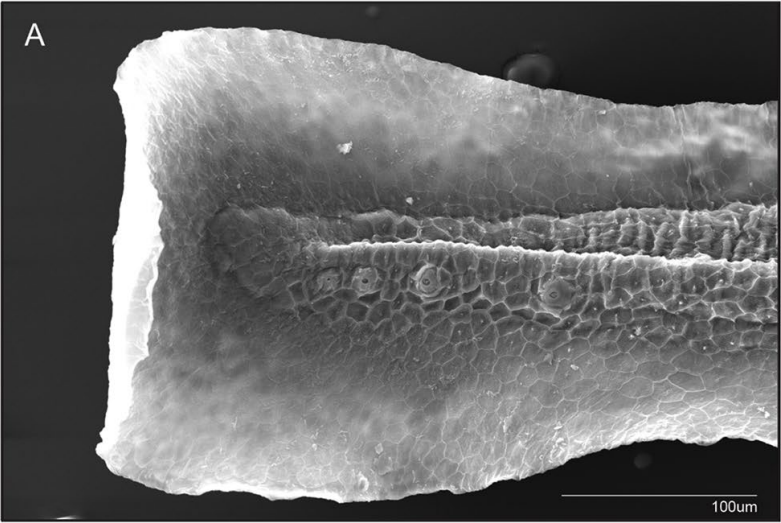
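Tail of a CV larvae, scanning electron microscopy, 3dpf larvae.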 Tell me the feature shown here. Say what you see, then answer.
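Terminal neuromasts. Several small round mounds with a central pore sit in a row on the tail surface. They lie along a longitudinal ridge near the tip of the tail. Each mound stands out from the surrounding polygonal surface cells.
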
